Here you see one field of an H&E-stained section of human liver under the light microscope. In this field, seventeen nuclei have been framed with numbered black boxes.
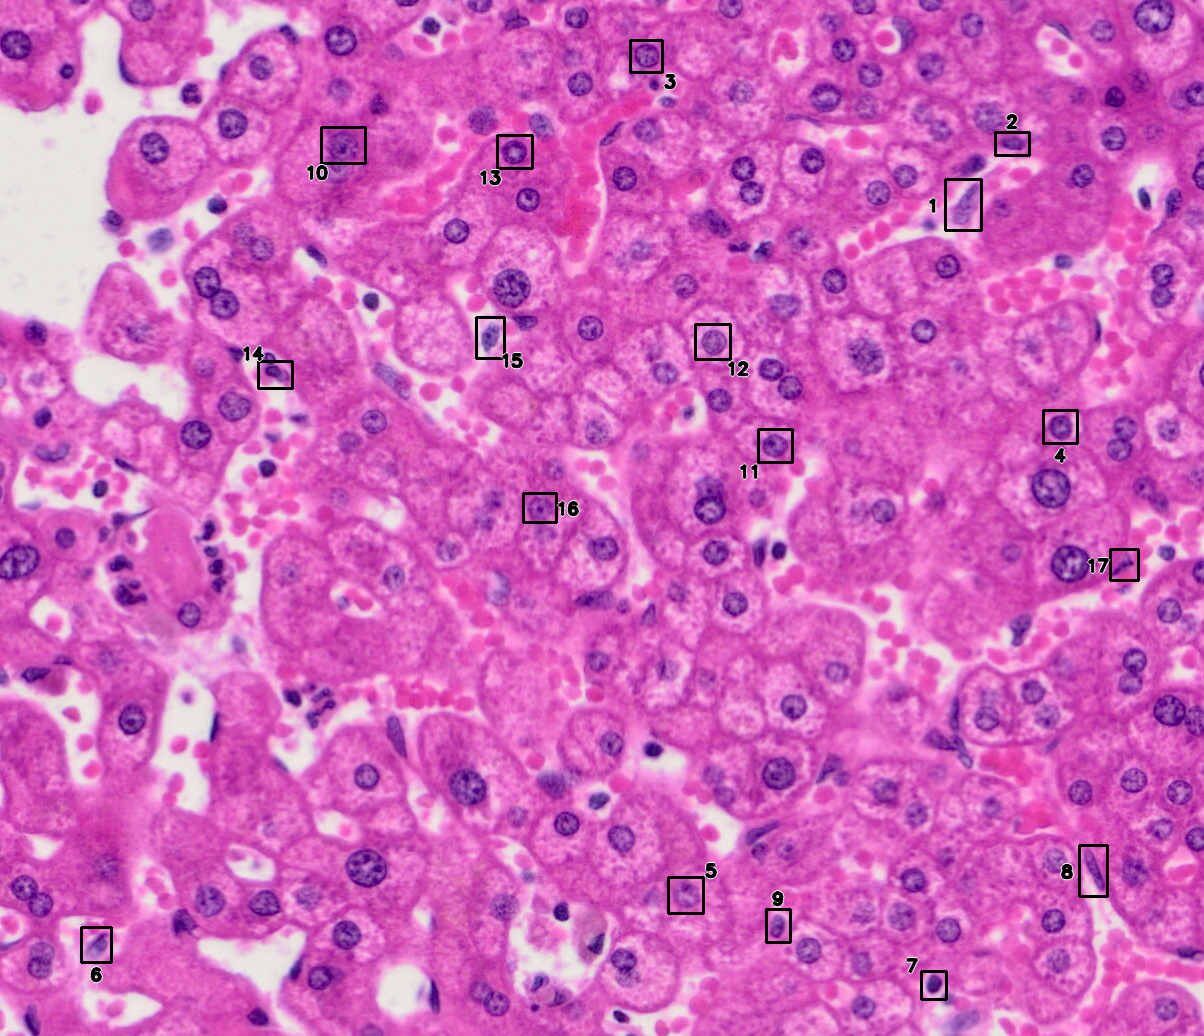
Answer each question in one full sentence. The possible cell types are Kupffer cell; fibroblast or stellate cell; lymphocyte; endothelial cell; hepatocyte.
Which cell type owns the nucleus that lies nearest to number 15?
Closest to number 15 lies the nucleus of a fibroblast or stellate cell.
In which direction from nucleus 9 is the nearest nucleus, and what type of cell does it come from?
Lying below and to the right of nucleus 9, the nearest nucleus is that of a hepatocyte.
